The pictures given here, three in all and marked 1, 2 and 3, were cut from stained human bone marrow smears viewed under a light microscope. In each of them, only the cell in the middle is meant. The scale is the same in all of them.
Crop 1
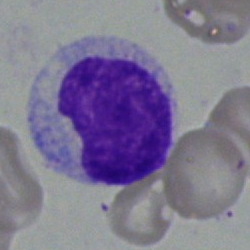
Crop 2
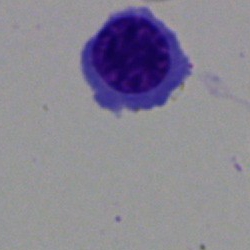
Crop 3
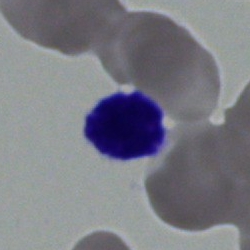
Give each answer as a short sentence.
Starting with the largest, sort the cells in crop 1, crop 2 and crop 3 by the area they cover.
The order is 1, 2, 3, beginning with the largest.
